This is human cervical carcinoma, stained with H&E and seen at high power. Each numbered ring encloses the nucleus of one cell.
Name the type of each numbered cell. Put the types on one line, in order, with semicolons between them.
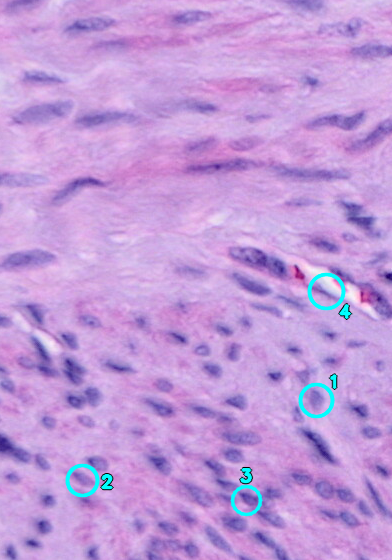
fibroblast; smooth muscle cell; smooth muscle cell; endothelial cell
